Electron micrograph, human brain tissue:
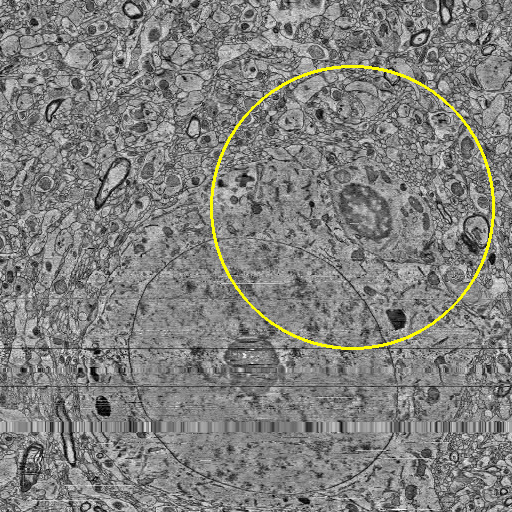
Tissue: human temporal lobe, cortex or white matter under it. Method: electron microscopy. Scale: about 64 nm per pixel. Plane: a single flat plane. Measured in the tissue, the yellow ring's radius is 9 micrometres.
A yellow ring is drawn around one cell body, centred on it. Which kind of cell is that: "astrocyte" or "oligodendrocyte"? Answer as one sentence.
It is an oligodendrocyte at the centre of the ring.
